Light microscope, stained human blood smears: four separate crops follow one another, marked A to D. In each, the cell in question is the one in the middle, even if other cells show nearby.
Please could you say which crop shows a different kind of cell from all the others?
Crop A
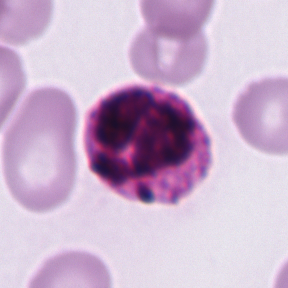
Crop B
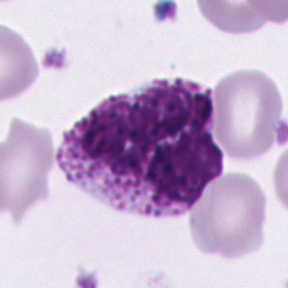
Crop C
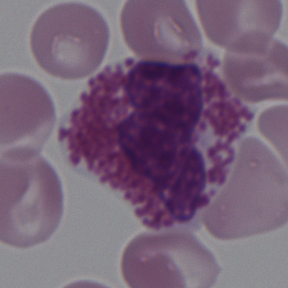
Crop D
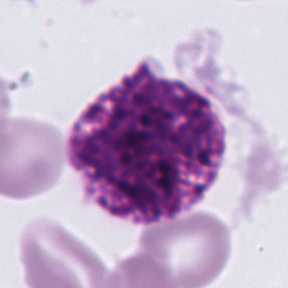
C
